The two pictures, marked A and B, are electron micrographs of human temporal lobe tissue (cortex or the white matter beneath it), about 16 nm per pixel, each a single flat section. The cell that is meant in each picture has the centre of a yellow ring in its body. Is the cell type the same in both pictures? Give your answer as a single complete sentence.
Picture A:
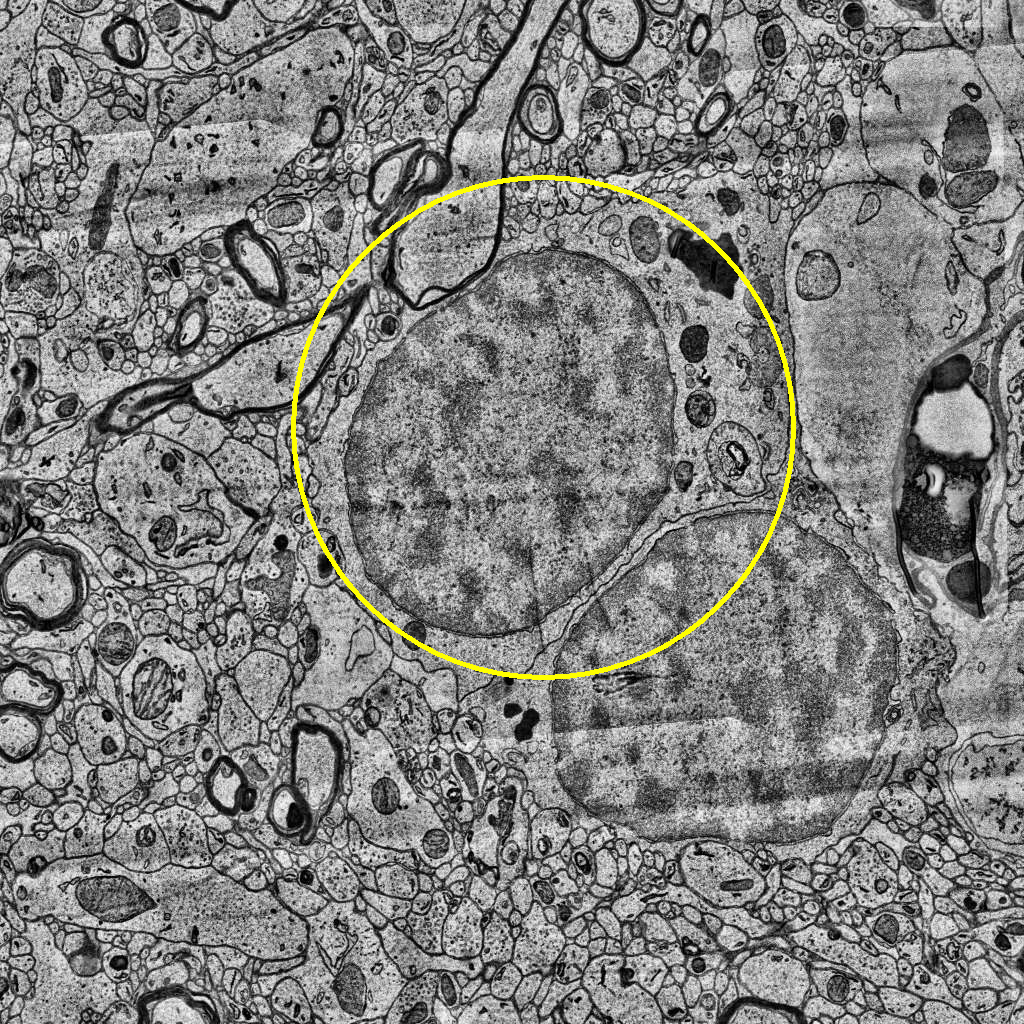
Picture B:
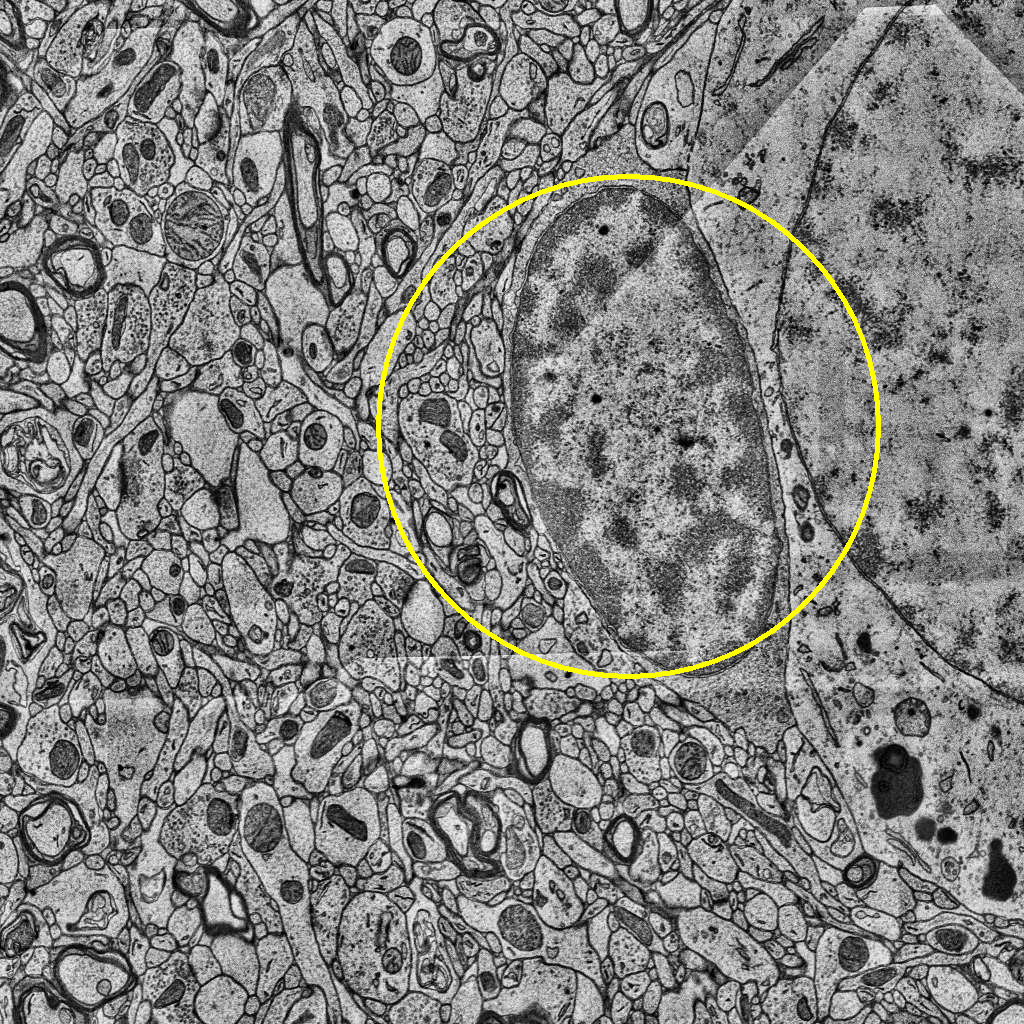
Yes, they are the same type: both are oligodendrocytes.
